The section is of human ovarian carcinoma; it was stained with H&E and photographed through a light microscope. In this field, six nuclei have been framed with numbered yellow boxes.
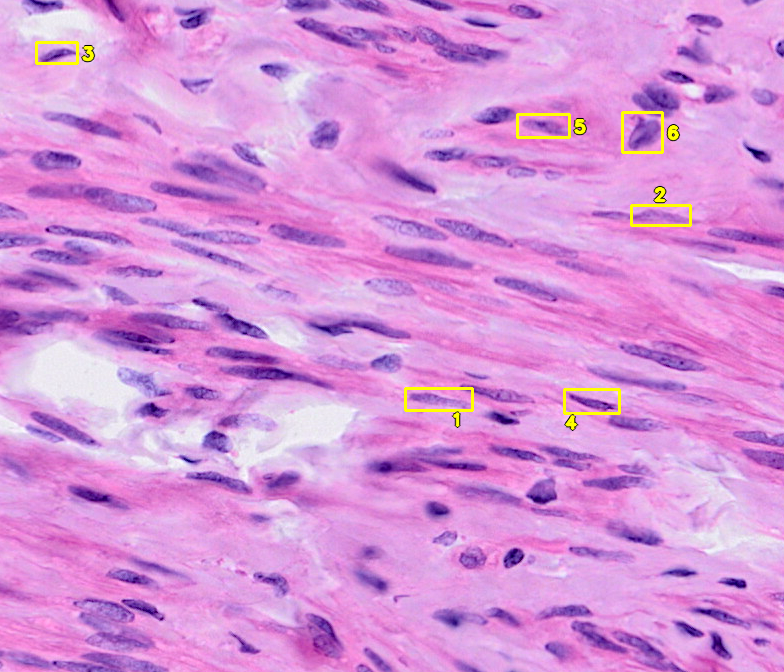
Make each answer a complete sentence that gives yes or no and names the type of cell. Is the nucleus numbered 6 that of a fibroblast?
Yes, in this tissue section, number 6 is a fibroblast.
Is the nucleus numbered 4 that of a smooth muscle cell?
Yes, the cell identified by number 4 is a smooth muscle cell.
